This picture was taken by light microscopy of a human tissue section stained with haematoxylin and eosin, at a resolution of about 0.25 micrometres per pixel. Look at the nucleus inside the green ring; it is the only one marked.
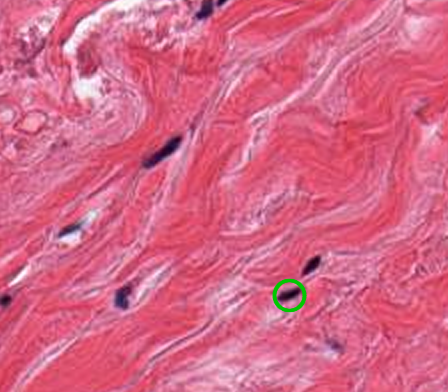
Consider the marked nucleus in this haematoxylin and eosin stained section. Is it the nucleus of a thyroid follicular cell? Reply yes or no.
no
